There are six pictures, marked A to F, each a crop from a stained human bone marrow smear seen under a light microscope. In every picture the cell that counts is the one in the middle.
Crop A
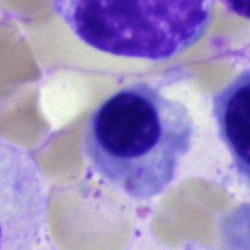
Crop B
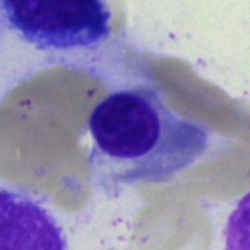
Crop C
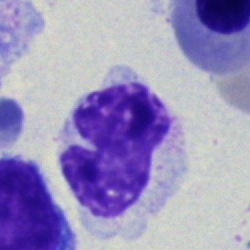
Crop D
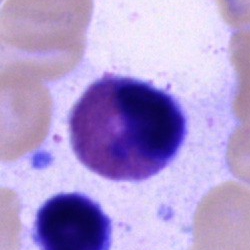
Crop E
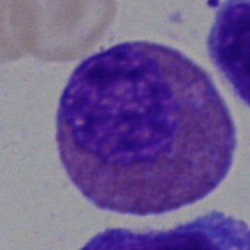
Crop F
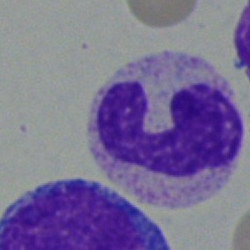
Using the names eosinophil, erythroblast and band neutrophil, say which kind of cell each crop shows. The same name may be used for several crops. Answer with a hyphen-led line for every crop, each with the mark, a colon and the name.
- A: erythroblast
- B: erythroblast
- C: band neutrophil
- D: eosinophil
- E: eosinophil
- F: band neutrophil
